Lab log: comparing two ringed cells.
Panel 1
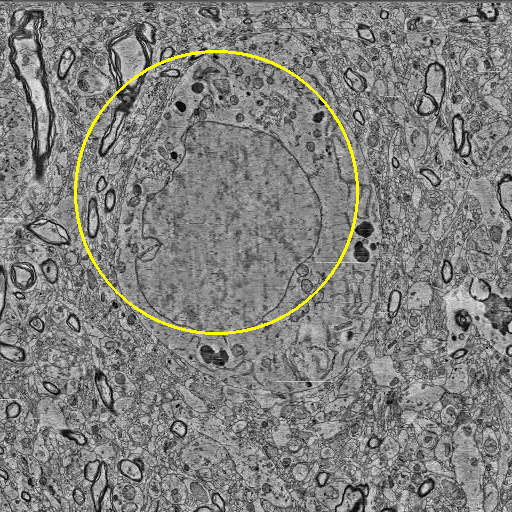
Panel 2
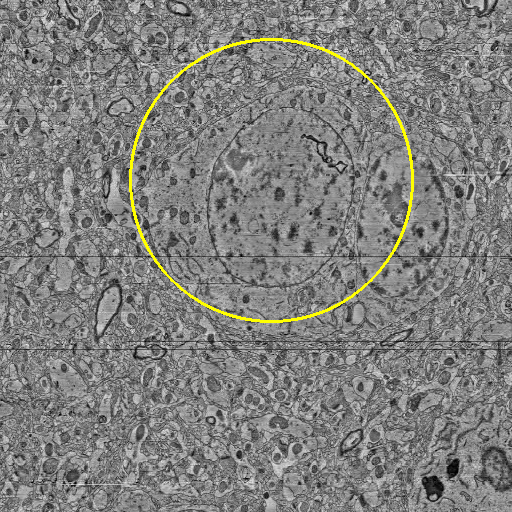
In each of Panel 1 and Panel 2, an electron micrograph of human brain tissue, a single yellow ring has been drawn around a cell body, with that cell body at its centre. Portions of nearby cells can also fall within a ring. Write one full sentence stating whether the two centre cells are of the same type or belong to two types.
The cells at the ring centres in Panel 1 and Panel 2 are of the same type.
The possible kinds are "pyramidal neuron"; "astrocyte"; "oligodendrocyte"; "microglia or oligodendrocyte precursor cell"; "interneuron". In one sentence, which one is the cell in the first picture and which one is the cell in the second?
The cell in the first picture is a pyramidal neuron, and so is the one in the second.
